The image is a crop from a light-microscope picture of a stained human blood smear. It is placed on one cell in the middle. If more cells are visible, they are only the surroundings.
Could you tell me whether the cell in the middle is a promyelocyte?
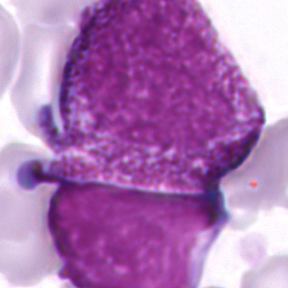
yes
